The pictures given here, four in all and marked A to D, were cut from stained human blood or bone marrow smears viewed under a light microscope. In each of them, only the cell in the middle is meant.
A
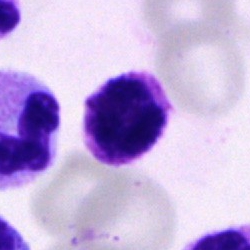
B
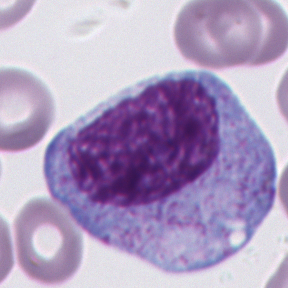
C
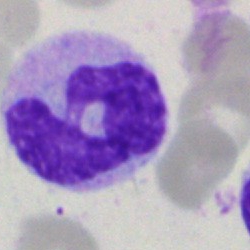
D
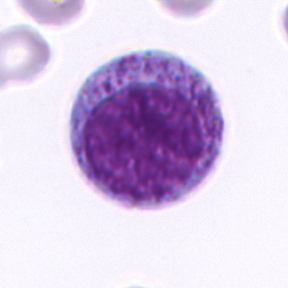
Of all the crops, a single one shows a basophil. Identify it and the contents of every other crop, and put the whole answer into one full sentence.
The crop marked A contains a basophil, while crop B is a promyelocyte, crop C is a monocyte and crop D is a myelocyte.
